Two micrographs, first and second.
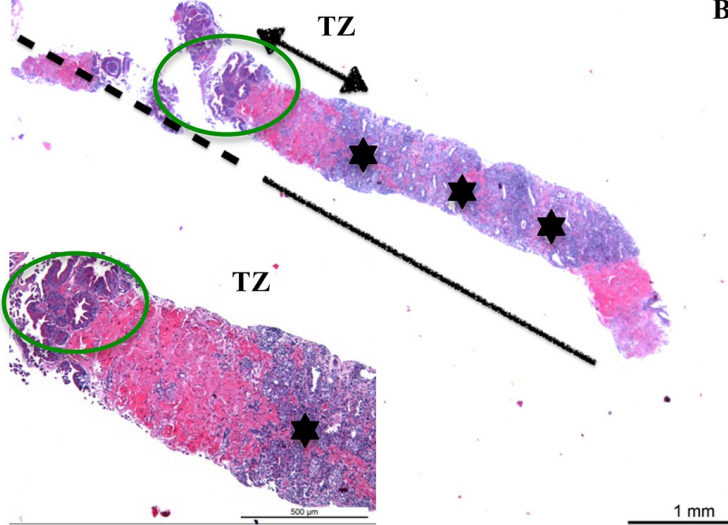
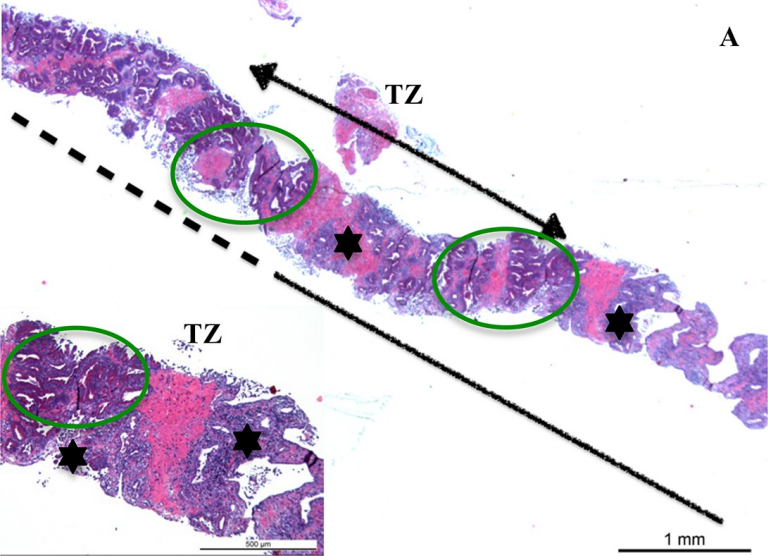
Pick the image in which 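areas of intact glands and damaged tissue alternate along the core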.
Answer: the second image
